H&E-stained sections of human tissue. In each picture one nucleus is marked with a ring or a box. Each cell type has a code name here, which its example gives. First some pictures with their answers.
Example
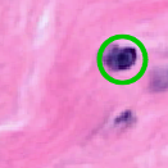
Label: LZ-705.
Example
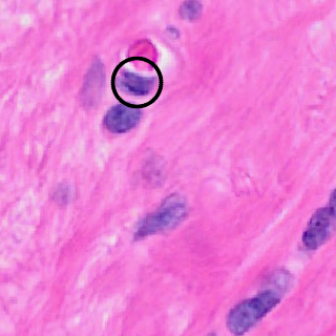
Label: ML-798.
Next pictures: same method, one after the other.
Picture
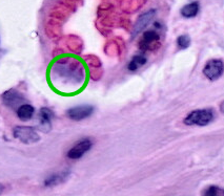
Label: ML-798.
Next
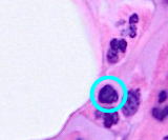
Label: LZ-705.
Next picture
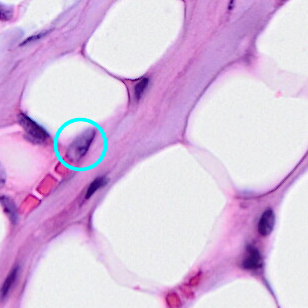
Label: ML-798.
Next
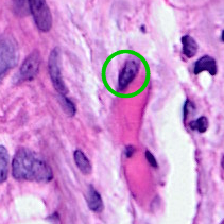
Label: ML-798.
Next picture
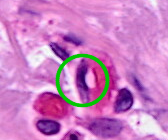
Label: ML-798.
